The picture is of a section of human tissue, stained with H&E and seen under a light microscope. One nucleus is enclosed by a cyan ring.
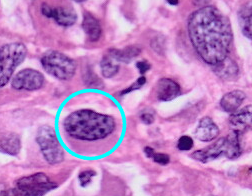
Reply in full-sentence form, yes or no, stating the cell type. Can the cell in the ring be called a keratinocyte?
No; the cell in the ring should be labelled a melanoma cell rather than a keratinocyte.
